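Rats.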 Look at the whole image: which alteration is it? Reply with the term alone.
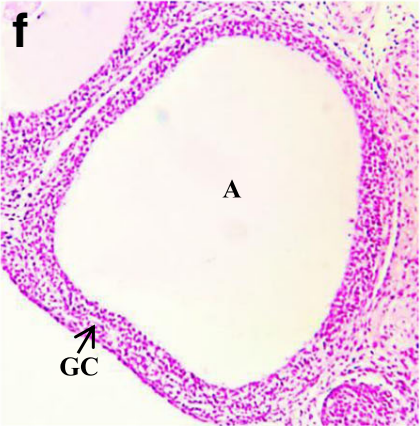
Cystic follicle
